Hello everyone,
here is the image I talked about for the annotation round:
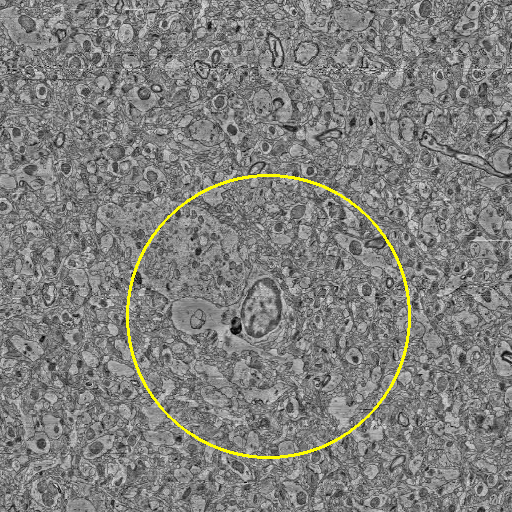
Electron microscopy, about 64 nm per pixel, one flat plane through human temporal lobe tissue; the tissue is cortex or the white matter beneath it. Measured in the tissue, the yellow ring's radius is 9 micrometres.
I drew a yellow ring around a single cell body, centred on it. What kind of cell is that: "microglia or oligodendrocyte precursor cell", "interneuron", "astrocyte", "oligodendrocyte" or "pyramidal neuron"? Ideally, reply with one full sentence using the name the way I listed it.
The cell your yellow ring is centred on is a microglial cell or oligodendrocyte precursor cell, going by your list.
